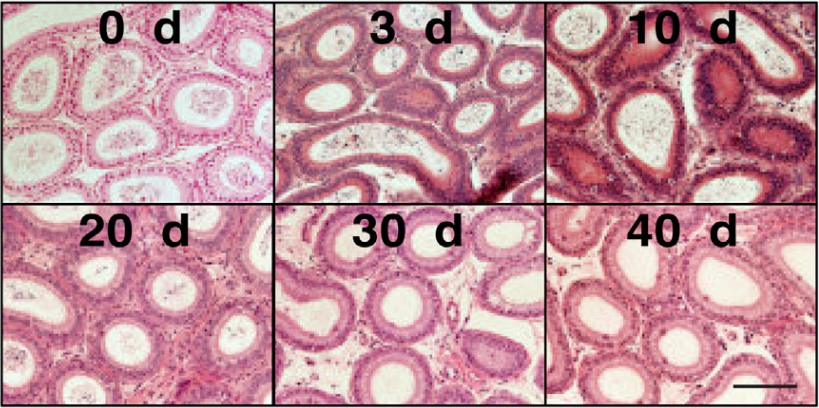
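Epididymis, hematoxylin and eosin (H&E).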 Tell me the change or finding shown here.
Sperm were gradually lost.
